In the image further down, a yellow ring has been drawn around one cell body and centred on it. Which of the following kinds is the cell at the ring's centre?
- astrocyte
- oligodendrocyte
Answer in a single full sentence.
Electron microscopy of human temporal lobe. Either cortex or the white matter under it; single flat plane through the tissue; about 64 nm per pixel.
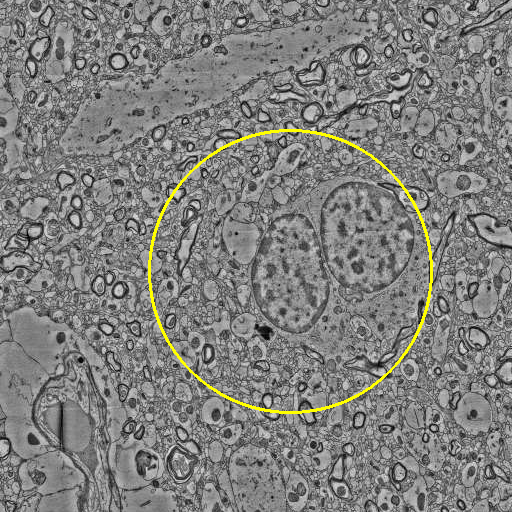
In the picture, the cell sitting at the centre of the yellow ring is an oligodendrocyte.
